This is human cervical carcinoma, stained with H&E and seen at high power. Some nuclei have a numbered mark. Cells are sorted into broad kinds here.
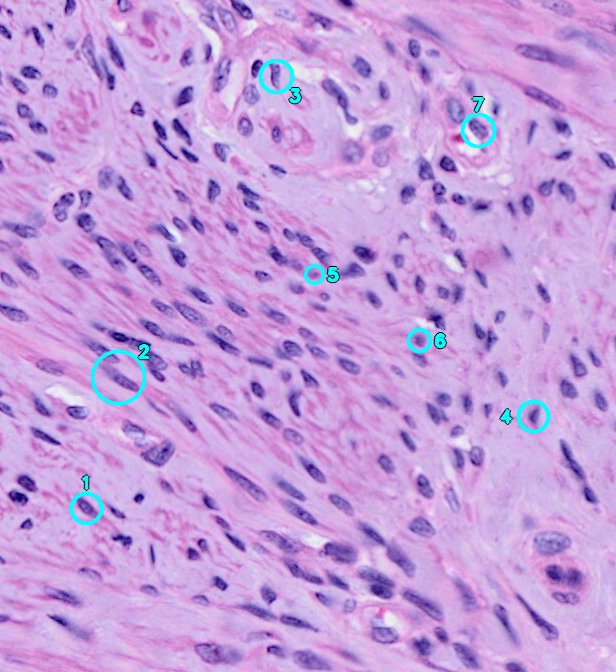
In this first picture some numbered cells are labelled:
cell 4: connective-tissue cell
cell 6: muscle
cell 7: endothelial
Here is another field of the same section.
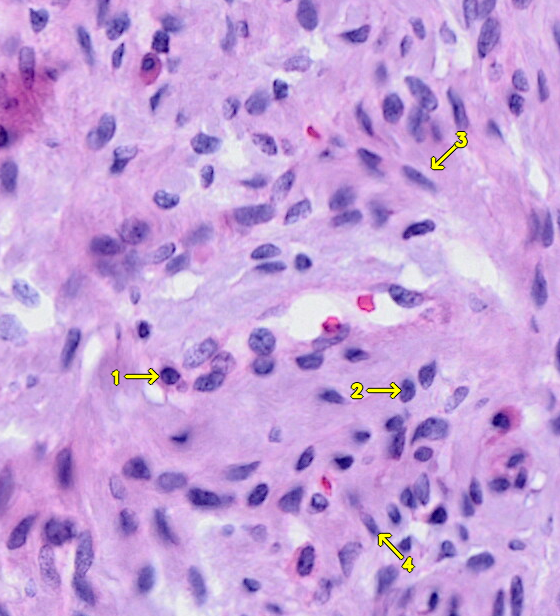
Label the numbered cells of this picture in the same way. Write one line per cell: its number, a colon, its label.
1: endothelial
2: connective-tissue cell
3: connective-tissue cell
4: connective-tissue cell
